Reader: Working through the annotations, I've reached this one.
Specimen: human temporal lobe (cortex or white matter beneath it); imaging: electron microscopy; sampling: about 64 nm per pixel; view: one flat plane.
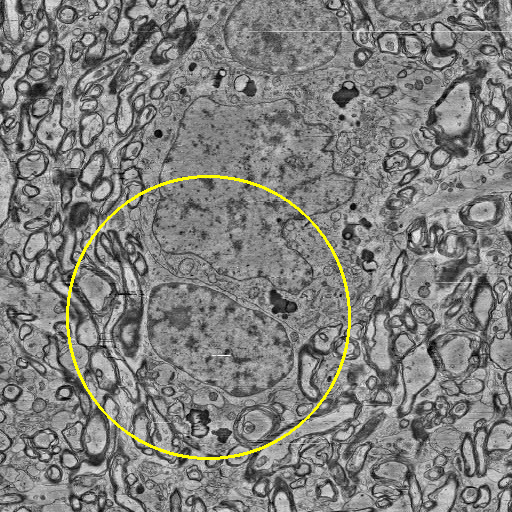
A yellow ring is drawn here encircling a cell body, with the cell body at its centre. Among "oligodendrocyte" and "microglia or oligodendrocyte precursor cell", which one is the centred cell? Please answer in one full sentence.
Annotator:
The cell body at the centre of the yellow ring in this image belongs to a microglial cell or oligodendrocyte precursor cell.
